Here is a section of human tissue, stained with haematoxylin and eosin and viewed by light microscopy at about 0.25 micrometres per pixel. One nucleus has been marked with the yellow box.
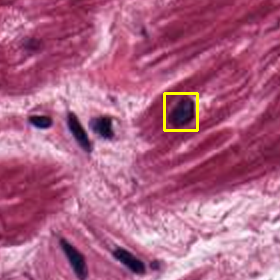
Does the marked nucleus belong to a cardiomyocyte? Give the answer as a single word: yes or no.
yes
